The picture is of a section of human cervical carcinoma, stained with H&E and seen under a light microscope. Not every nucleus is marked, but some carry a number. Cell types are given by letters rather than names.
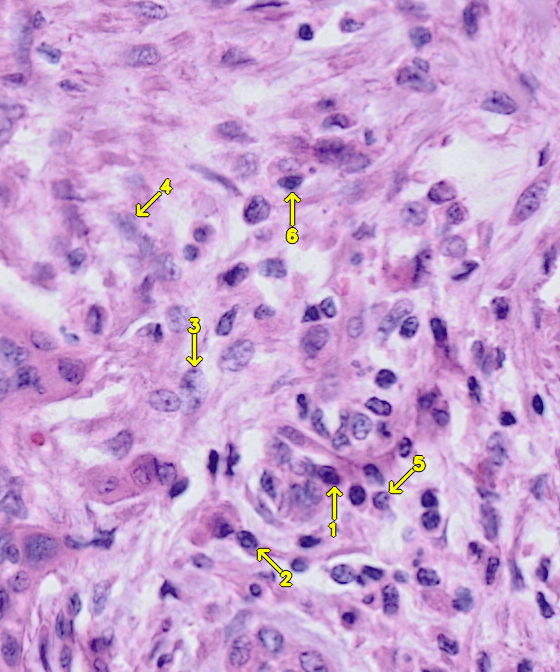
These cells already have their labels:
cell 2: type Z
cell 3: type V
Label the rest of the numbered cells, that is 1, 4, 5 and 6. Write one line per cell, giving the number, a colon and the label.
1: type Z
4: type V
5: type Z
6: type Z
